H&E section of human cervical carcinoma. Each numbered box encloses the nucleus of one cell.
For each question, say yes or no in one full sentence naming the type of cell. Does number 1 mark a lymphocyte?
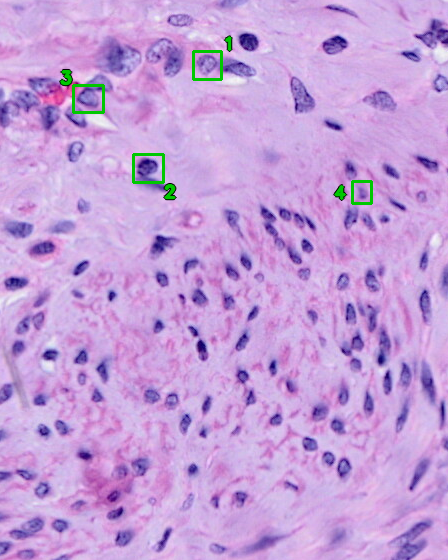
No, the cell indicated by 1 is an endothelial cell instead of a lymphocyte.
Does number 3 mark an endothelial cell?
Yes, in this section the cell numbered 3 is an endothelial cell.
